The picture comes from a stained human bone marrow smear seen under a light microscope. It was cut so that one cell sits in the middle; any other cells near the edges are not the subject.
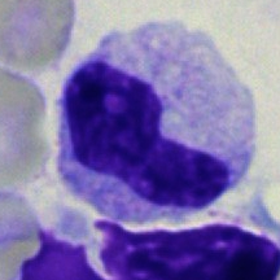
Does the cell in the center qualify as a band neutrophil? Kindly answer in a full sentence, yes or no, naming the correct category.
Yes, the cell sitting in the center is a band neutrophil.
